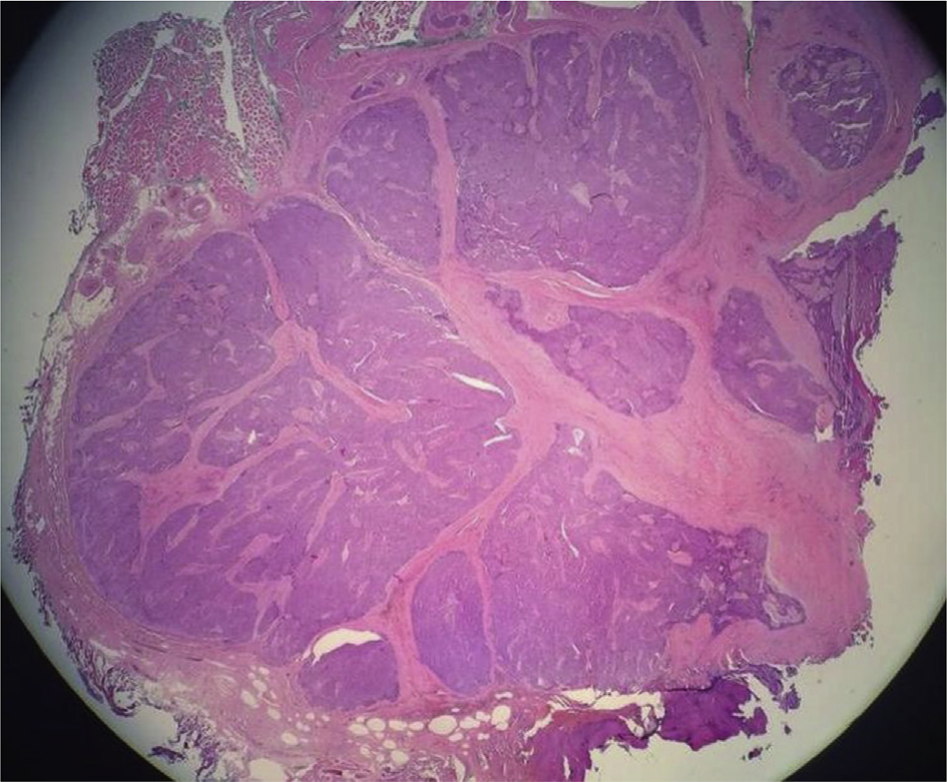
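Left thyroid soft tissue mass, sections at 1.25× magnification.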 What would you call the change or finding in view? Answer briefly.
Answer: lobular architecture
